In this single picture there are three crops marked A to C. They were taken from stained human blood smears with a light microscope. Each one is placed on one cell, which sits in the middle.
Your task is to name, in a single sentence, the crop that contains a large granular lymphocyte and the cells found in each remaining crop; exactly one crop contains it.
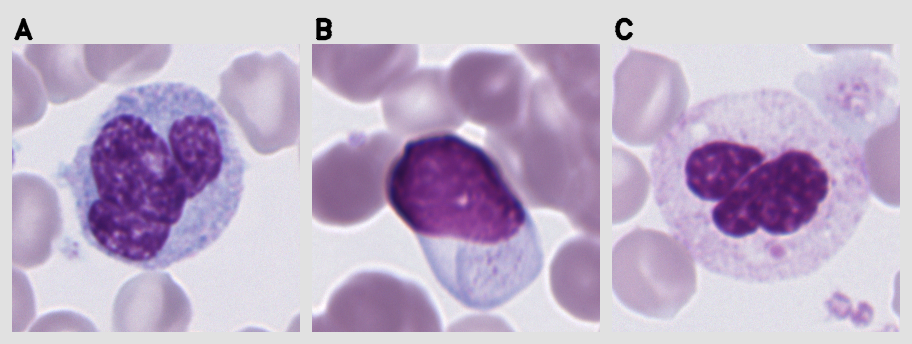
Regarding crop B, it shows a large granular lymphocyte, while crop A is a monocyte and crop C is a segmented neutrophil.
